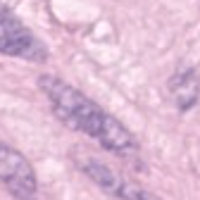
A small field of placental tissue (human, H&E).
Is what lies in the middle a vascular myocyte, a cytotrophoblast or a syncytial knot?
It is a vascular myocyte.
